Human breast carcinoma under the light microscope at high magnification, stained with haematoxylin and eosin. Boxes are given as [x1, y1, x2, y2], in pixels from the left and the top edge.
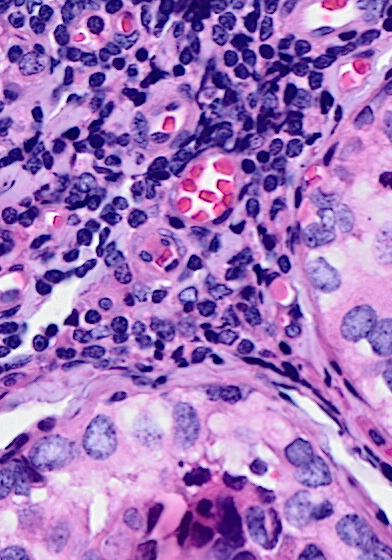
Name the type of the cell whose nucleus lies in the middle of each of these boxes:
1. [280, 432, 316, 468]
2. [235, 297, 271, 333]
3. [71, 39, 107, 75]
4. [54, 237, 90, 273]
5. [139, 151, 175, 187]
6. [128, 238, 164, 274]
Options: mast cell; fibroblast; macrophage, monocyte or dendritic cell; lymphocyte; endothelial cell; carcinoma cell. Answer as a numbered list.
1. carcinoma cell
2. lymphocyte
3. lymphocyte
4. lymphocyte
5. lymphocyte
6. endothelial cell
